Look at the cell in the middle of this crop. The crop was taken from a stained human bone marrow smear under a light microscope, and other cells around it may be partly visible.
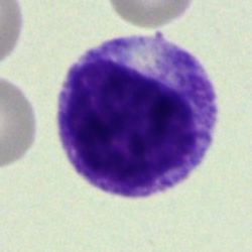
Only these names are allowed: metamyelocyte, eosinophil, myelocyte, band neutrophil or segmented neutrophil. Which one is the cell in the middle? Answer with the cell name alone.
myelocyte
